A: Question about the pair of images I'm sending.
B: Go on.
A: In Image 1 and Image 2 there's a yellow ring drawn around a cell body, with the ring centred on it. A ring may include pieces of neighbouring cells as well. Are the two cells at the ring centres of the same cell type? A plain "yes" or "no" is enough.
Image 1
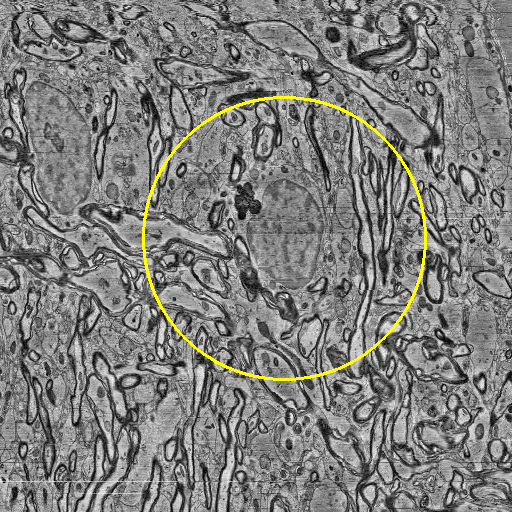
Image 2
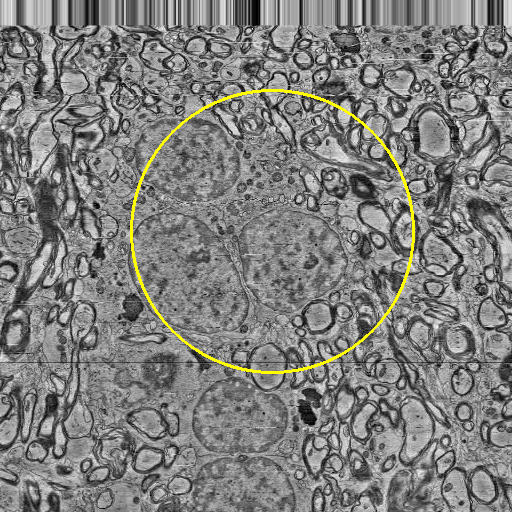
yes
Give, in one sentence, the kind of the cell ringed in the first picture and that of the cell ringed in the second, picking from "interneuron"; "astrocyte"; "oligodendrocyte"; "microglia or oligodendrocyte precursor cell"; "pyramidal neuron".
Each of the two cells is an oligodendrocyte.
